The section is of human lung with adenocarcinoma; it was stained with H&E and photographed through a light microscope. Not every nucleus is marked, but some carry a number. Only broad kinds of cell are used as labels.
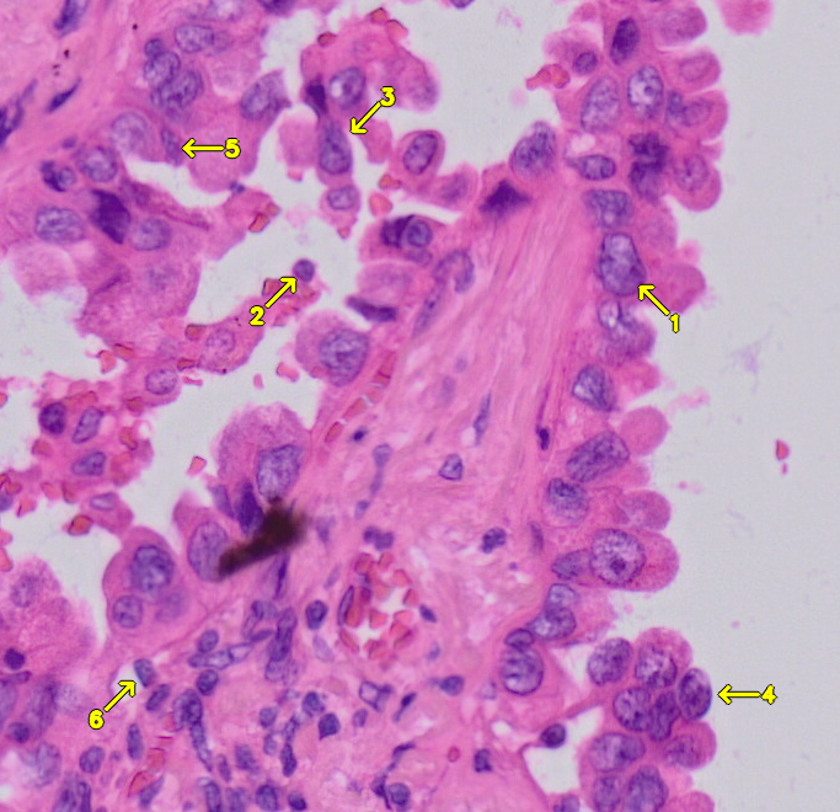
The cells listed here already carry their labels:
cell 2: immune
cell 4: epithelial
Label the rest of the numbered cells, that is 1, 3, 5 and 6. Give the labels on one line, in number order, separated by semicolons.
epithelial; epithelial; epithelial; immune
